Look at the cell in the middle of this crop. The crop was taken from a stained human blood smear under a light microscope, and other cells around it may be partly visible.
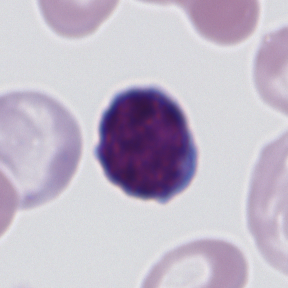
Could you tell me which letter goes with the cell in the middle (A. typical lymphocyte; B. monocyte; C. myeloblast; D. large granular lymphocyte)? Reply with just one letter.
A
